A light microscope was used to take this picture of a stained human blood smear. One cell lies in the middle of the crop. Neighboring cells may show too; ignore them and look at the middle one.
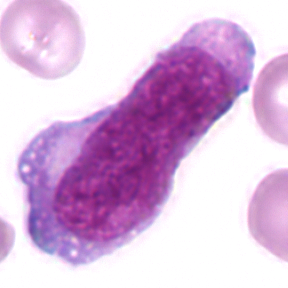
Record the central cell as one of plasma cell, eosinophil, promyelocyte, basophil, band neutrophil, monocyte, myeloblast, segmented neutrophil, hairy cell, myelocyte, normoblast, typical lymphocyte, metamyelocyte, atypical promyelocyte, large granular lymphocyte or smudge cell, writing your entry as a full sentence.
For this crop, the central cell is an atypical promyelocyte.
